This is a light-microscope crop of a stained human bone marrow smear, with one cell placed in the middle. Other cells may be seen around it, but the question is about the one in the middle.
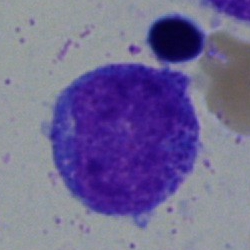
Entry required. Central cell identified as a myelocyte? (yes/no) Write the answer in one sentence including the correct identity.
No, the middle of the crop holds a promyelocyte, not a myelocyte.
